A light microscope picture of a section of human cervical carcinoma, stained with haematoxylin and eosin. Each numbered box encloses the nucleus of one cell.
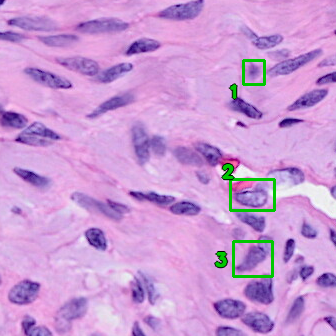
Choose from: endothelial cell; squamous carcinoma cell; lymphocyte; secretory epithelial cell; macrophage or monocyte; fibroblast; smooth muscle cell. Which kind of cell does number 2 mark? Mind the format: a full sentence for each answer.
Classified as an endothelial cell is the cell with the number 2.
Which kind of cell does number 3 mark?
The cell pointed out as number 3 is a fibroblast.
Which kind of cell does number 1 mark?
The expected answer is that cell 1 is a fibroblast.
